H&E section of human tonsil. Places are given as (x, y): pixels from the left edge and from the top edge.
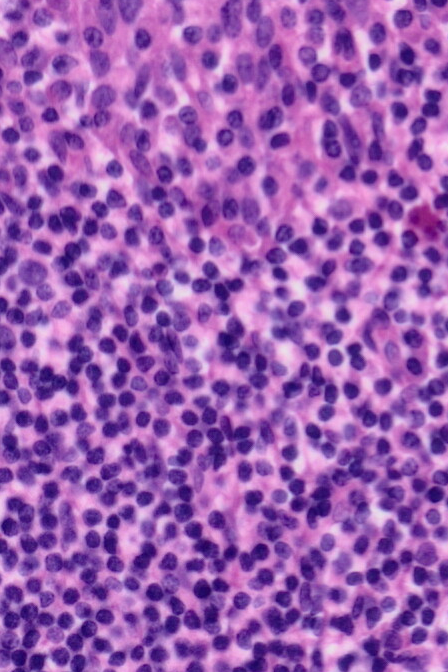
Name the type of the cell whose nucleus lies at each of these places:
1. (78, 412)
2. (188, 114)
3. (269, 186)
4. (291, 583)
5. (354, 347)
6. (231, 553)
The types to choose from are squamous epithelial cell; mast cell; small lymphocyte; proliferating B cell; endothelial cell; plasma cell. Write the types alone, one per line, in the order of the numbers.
small lymphocyte
plasma cell
plasma cell
small lymphocyte
small lymphocyte
small lymphocyte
